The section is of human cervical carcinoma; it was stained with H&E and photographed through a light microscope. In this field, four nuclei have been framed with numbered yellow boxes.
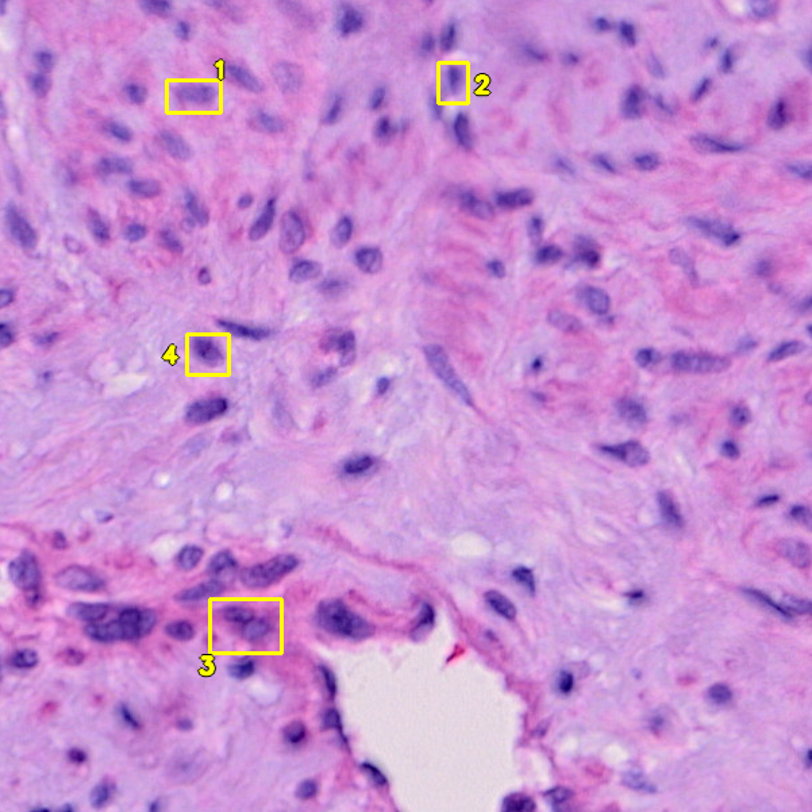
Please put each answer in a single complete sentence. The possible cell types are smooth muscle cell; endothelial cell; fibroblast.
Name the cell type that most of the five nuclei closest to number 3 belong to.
Endothelial cells account for more than half of the five nuclei nearest to number 3.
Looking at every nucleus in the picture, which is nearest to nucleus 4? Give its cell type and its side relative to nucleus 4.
A fibroblast lies closest, above and to the right of nucleus 4.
